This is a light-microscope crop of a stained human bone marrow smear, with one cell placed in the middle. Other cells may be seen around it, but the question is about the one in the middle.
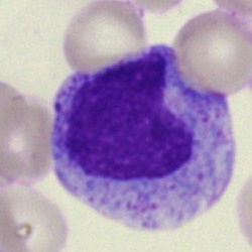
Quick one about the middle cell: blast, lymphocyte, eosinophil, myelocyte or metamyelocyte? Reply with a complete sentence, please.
In short, the cell at the center is a metamyelocyte.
